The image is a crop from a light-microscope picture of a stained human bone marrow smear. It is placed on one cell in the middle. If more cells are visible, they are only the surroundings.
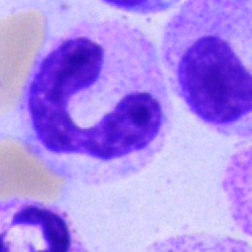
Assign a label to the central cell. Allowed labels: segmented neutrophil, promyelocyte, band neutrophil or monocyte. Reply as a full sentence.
This crop has a band neutrophil at its centre.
